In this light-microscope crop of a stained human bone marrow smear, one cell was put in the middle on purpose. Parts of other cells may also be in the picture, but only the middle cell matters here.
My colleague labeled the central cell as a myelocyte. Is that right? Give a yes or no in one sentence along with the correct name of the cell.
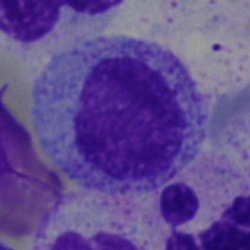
No, the central cell is a promyelocyte, not a myelocyte.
